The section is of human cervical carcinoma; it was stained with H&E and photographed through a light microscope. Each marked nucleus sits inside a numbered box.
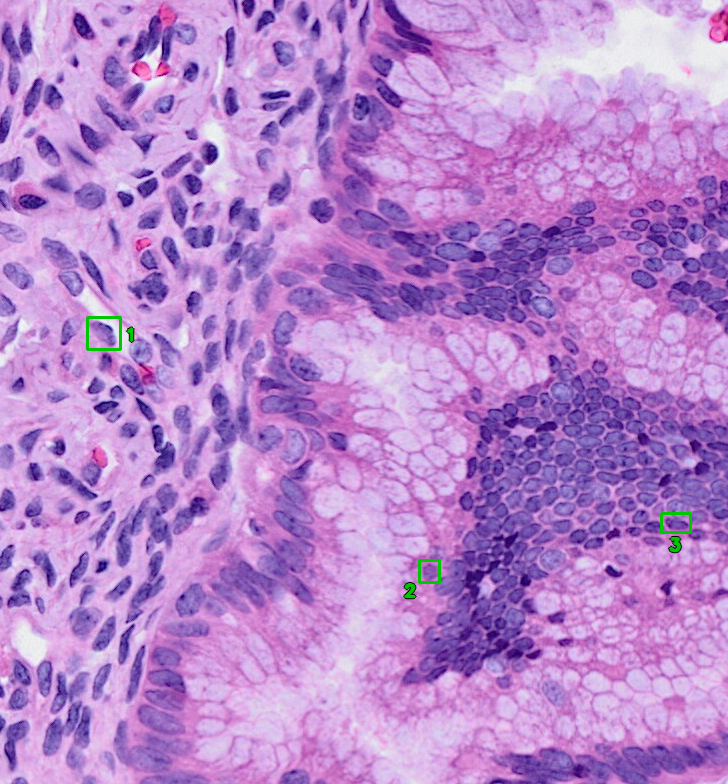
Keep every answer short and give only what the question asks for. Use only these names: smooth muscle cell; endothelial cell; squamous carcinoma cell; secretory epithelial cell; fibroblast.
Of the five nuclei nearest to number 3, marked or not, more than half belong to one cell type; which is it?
secretory epithelial cell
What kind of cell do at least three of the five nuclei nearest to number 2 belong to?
secretory epithelial cell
